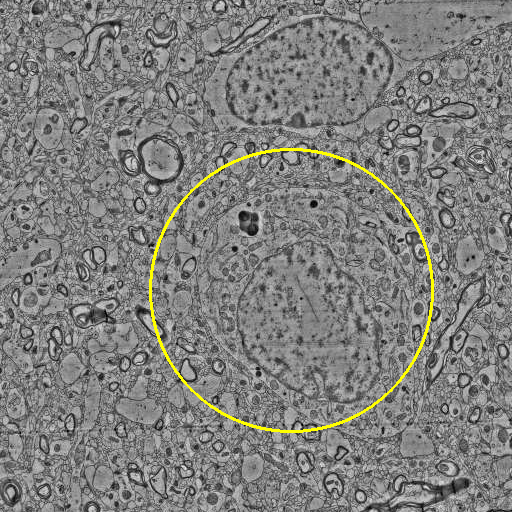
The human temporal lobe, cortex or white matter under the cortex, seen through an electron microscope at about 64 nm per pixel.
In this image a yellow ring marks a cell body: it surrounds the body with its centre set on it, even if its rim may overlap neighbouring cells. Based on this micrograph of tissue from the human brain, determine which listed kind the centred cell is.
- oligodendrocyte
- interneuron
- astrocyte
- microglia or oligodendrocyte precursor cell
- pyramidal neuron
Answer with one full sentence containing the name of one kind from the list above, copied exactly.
It is an interneuron whose body the yellow ring encloses at its centre.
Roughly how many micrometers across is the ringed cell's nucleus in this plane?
In this plane the nucleus measures roughly 11 by 9 micrometers.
